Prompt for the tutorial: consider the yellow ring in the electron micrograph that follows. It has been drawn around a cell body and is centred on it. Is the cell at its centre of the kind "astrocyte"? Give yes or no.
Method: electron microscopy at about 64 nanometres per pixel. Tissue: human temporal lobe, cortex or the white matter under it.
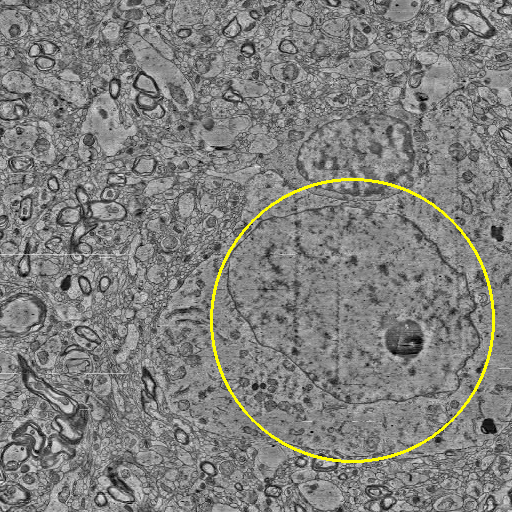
no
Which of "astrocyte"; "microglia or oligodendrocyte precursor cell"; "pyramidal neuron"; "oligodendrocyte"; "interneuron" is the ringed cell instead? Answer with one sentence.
So the cell at the centre is a pyramidal neuron.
